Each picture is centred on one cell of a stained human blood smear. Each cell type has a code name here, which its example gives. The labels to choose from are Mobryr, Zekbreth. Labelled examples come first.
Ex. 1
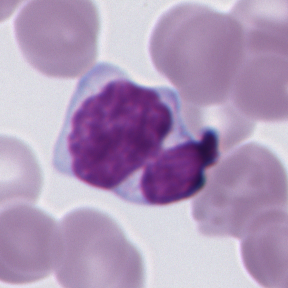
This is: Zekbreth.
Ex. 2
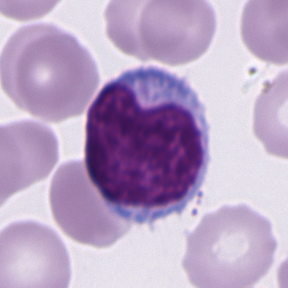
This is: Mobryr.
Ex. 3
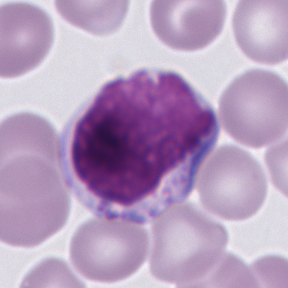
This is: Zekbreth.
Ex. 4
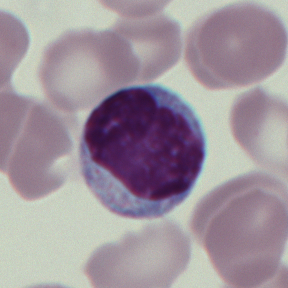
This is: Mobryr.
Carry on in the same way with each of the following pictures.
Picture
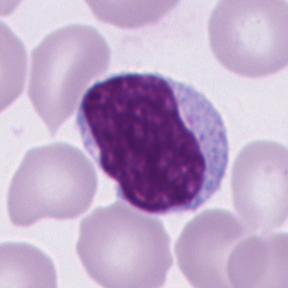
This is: Mobryr.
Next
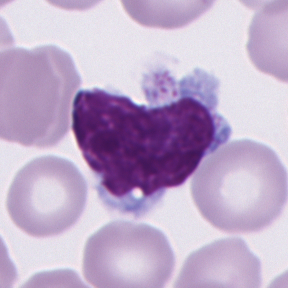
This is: Mobryr.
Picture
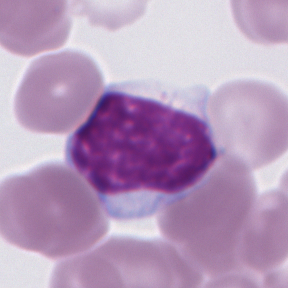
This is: Zekbreth.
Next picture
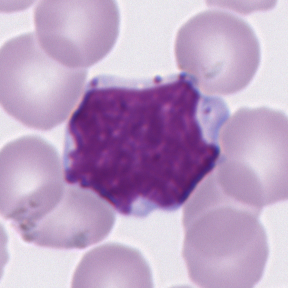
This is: Zekbreth.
